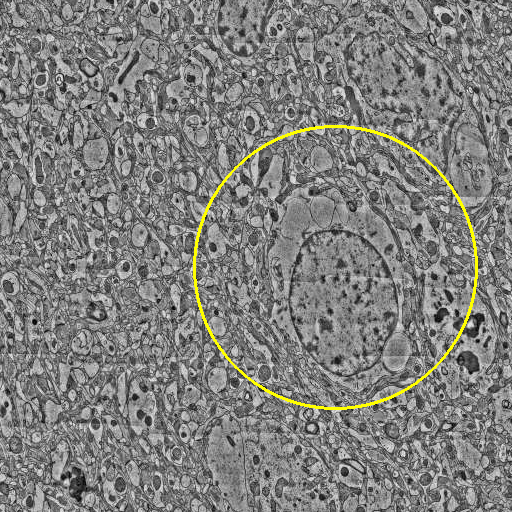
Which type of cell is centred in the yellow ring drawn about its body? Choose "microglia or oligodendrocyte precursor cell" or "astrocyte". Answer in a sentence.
The yellow ring surrounds the cell body of an astrocyte.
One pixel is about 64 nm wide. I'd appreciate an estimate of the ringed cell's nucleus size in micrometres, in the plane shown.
In this plane the nucleus measures roughly 10 by 7 micrometres.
